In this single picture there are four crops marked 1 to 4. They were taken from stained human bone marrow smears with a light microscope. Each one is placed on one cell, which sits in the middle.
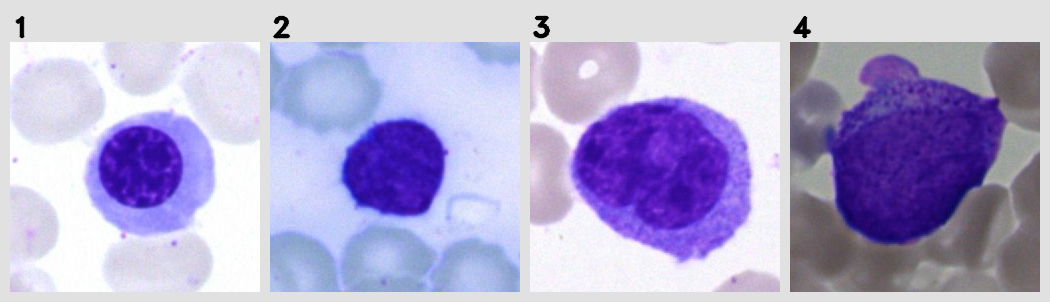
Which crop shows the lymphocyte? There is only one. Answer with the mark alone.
2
